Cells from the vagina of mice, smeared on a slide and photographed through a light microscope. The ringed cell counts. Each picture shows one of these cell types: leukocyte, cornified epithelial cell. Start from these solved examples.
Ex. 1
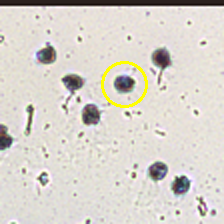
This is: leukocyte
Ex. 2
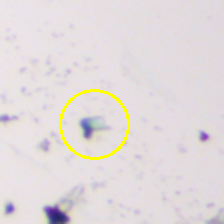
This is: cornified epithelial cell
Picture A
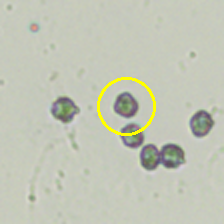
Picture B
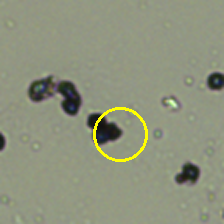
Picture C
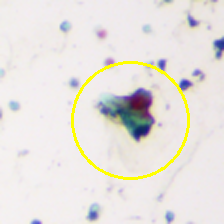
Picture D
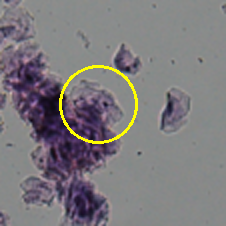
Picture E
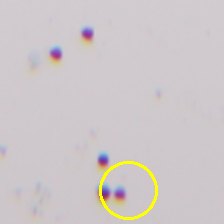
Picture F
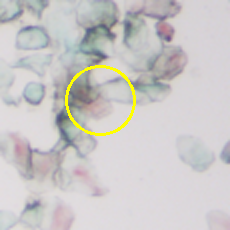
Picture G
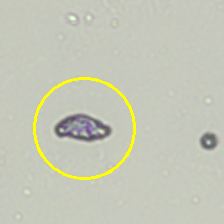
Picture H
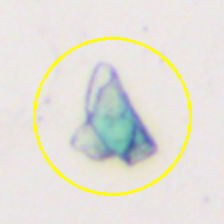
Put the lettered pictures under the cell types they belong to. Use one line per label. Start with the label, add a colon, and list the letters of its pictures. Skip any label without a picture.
leukocyte: A, B, E
cornified epithelial cell: C, D, F, G, H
